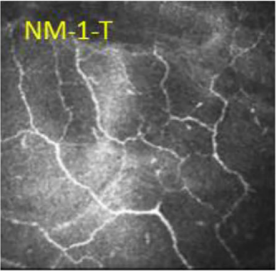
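This image shows corneal sub-basal nerves with marked tortuosity. Bright nerve fibres cross a grey granular background, but instead of running straight and parallel they bend, wind and change direction repeatedly along their course. Several thick fibres branch and curve toward one another, and thinner wavy branches arise from them. The fibres vary in brightness and thickness along their length. A hazier, brighter patch lies in the middle of the field, where the fibres appear less sharply defined.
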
